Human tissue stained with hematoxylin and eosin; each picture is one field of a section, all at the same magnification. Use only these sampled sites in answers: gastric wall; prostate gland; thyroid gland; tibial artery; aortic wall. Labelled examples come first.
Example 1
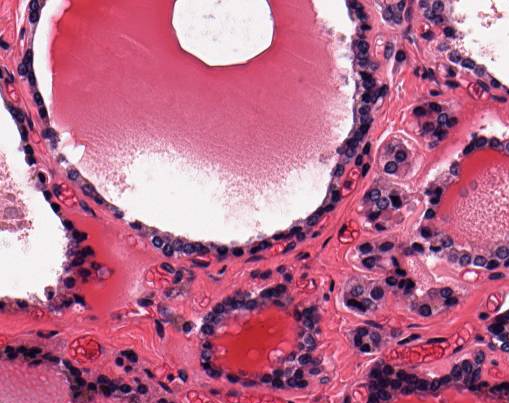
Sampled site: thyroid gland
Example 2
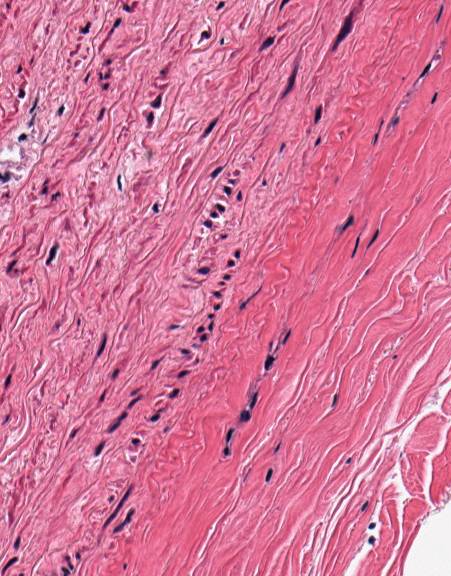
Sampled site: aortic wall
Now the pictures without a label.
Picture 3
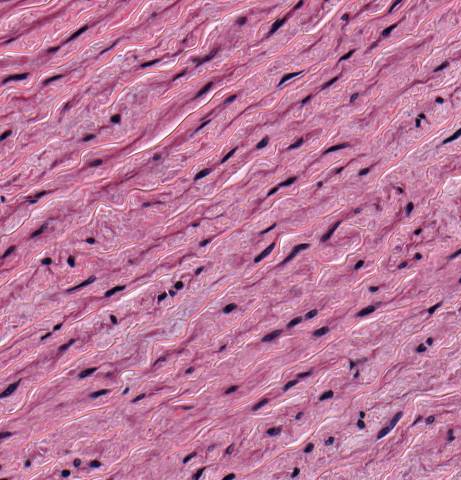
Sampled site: aortic wall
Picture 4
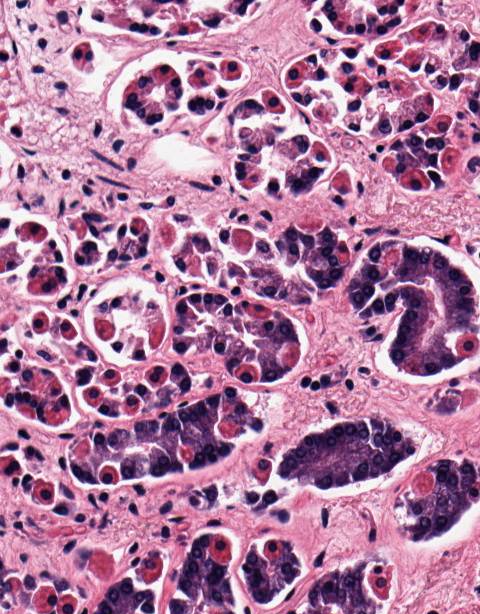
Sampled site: gastric wall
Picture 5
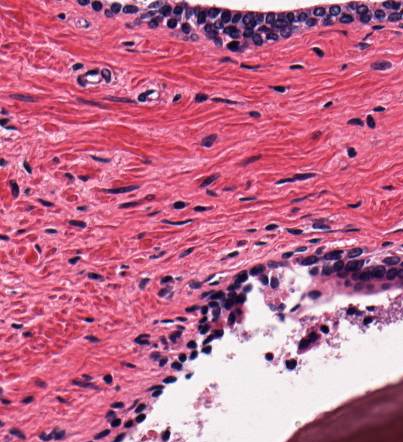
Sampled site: prostate gland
